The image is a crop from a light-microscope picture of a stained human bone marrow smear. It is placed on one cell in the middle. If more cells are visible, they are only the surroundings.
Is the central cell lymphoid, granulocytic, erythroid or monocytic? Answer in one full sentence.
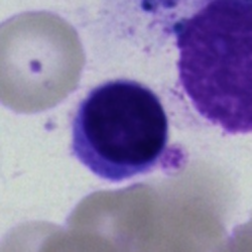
In lineage, the cell at the crop's center is lymphoid.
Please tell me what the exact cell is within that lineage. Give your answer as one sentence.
The cell featured at the centre of this crop is a lymphocyte.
